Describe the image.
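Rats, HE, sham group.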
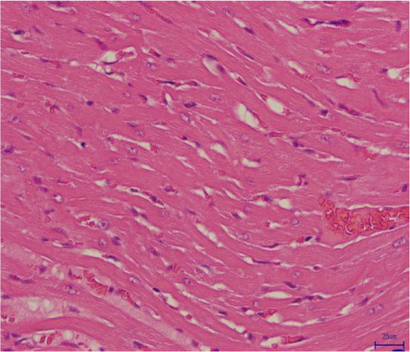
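Heart muscle with cardiomyocytes cut longitudinally, stained pink with purple nuclei. The fibres are packed closely and run in parallel, gently waving across the field. Nuclei are oval, pale and lie in the middle of the fibres, aligned with their long axis. Narrow clefts and small capillaries containing red blood cells lie between the fibres. Little interstitial tissue is seen.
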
